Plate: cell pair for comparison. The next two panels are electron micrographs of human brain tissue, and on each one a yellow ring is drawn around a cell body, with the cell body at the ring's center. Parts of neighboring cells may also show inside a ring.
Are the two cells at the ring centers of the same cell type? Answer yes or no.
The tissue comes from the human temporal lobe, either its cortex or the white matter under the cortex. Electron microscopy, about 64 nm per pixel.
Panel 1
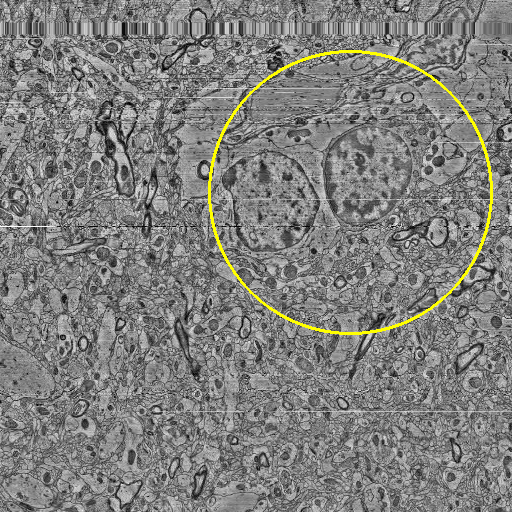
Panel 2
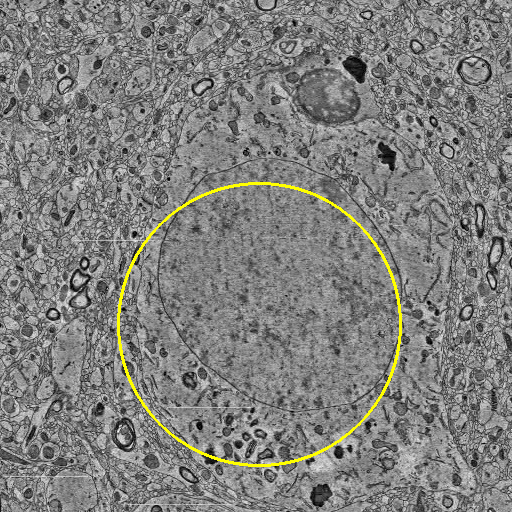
no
